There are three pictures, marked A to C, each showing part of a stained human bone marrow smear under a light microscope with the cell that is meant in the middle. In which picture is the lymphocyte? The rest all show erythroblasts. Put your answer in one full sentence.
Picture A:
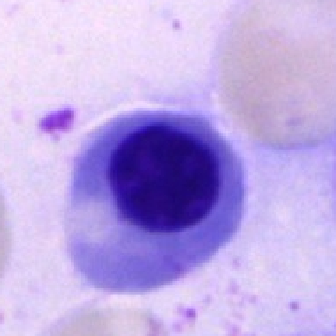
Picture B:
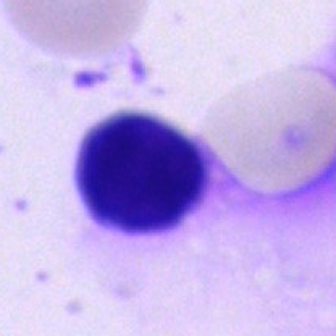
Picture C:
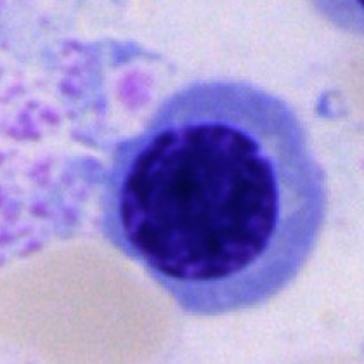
It is picture B that shows the lymphocyte.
